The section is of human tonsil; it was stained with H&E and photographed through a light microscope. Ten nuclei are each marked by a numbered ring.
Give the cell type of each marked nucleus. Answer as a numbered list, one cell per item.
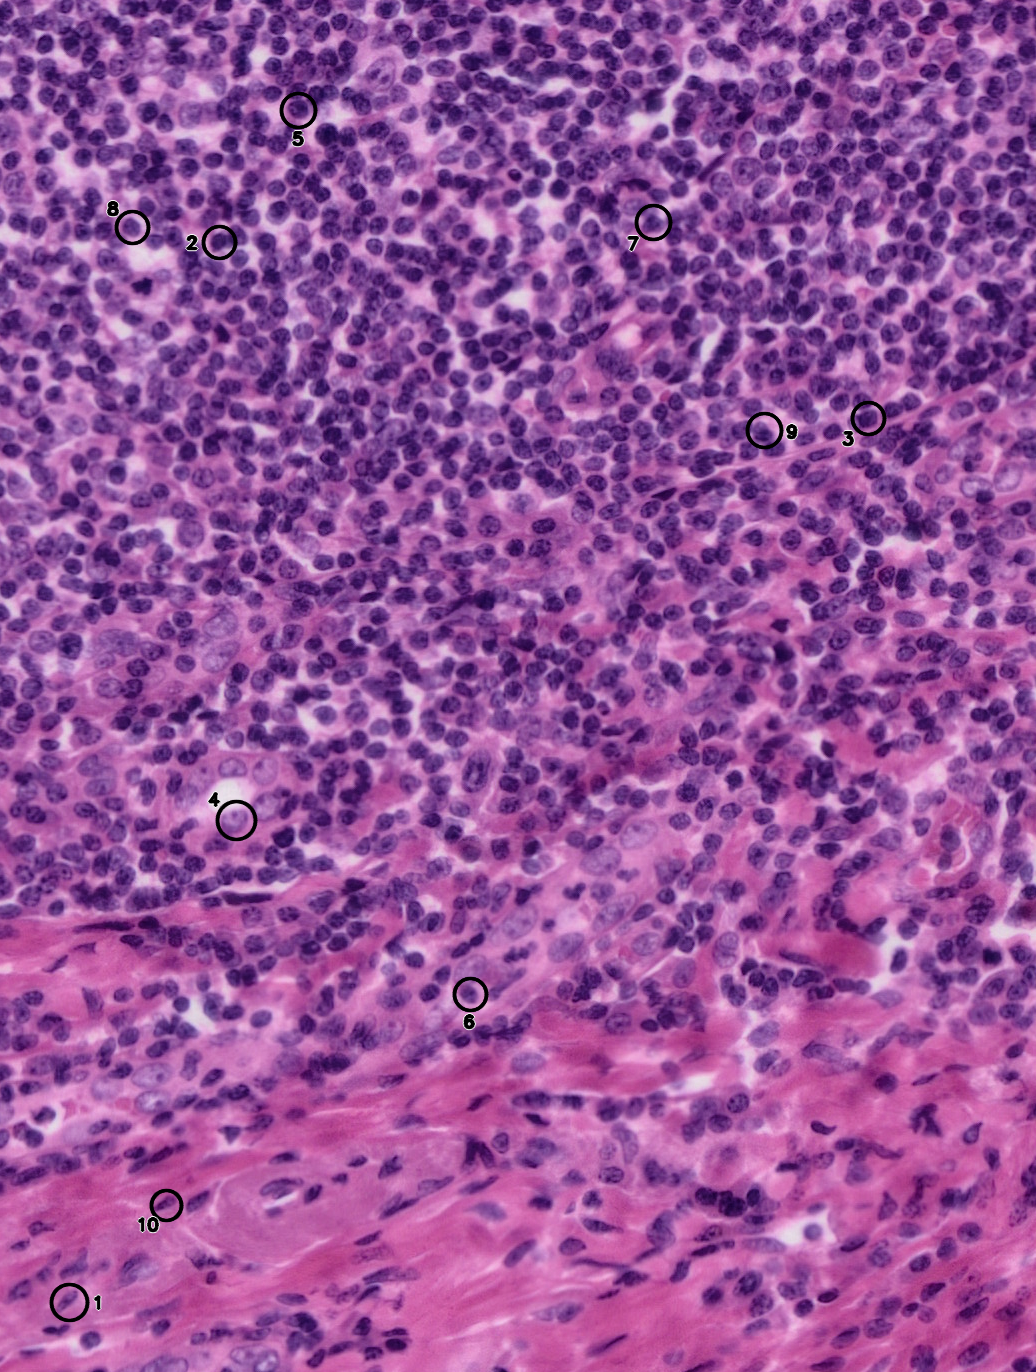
1. mast cell
2. small lymphocyte
3. small lymphocyte
4. endothelial cell
5. small lymphocyte
6. endothelial cell
7. small lymphocyte
8. small lymphocyte
9. small lymphocyte
10. mast cell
